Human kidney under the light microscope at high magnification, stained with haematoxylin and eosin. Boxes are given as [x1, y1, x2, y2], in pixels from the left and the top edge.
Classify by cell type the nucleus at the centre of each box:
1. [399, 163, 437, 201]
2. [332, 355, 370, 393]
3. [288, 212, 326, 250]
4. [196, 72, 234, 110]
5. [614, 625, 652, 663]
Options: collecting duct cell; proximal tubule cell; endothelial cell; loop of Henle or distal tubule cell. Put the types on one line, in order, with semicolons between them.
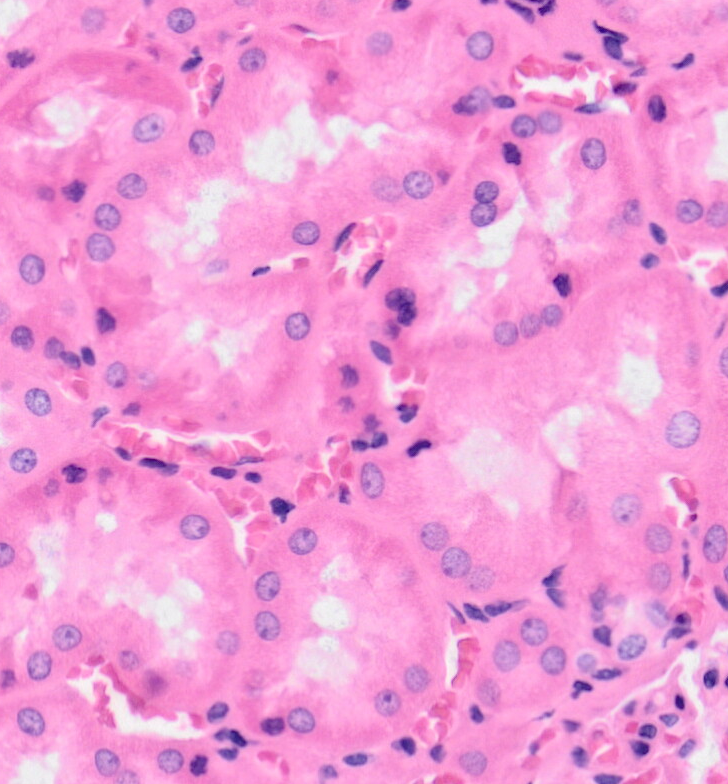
proximal tubule cell; proximal tubule cell; proximal tubule cell; endothelial cell; collecting duct cell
